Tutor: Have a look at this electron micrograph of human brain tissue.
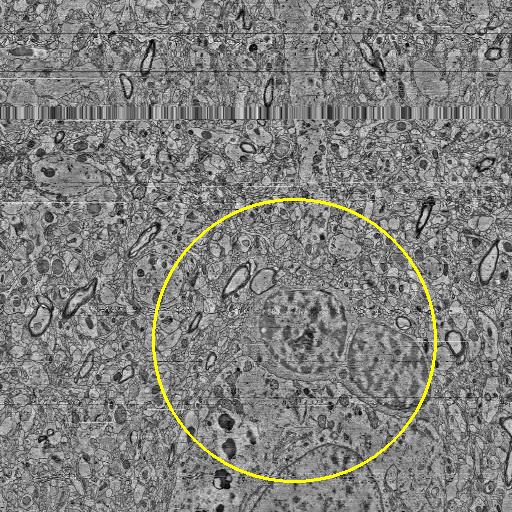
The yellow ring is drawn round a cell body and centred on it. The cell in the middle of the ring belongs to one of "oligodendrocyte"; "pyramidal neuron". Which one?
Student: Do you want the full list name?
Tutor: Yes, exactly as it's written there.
oligodendrocyte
